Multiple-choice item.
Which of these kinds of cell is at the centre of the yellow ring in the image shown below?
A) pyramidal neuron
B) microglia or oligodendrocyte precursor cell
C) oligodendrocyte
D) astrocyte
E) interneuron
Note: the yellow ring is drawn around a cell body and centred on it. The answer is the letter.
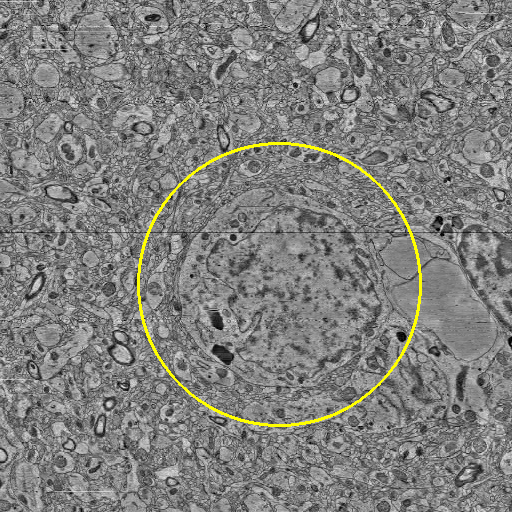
E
